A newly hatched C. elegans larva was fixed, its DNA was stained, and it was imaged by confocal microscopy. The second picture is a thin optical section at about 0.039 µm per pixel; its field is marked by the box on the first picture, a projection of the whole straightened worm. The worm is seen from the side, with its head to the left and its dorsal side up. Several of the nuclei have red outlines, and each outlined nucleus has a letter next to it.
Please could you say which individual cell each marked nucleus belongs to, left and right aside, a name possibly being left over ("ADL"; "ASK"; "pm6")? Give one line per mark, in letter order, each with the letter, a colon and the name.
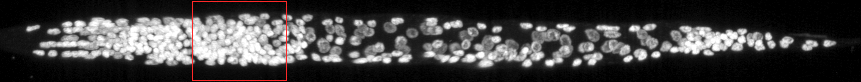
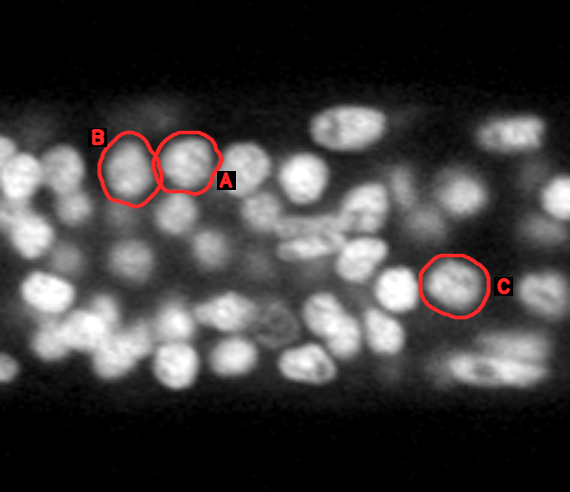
A: ADL
B: ASK
C: pm6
